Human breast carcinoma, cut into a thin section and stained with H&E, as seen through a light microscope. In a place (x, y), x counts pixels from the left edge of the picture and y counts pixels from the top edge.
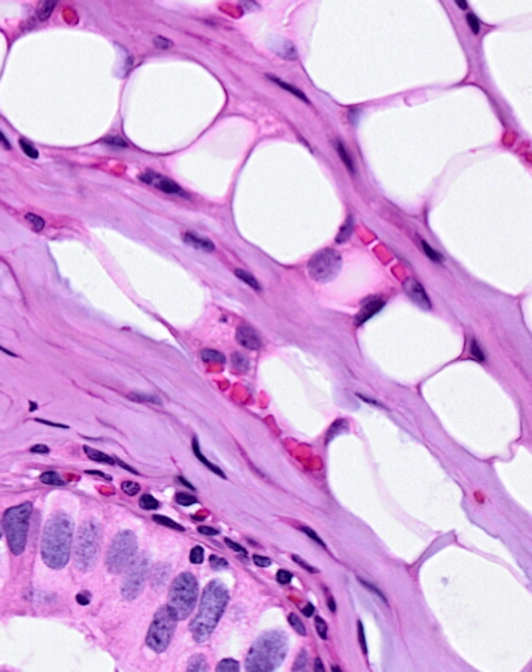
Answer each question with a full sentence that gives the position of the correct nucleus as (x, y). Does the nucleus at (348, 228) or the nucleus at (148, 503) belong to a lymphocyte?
The nucleus at (148, 503) is assigned to a lymphocyte.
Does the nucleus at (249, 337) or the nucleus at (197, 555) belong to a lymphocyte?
The nucleus at (197, 555) is attributed to a lymphocyte, unlike the other nucleus.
